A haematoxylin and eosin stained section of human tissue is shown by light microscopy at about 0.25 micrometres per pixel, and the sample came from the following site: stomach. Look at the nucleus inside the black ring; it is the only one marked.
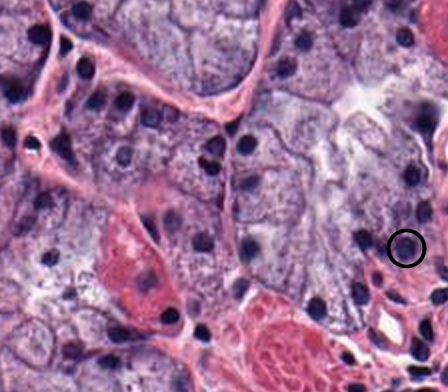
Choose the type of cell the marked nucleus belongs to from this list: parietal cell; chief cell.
chief cell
